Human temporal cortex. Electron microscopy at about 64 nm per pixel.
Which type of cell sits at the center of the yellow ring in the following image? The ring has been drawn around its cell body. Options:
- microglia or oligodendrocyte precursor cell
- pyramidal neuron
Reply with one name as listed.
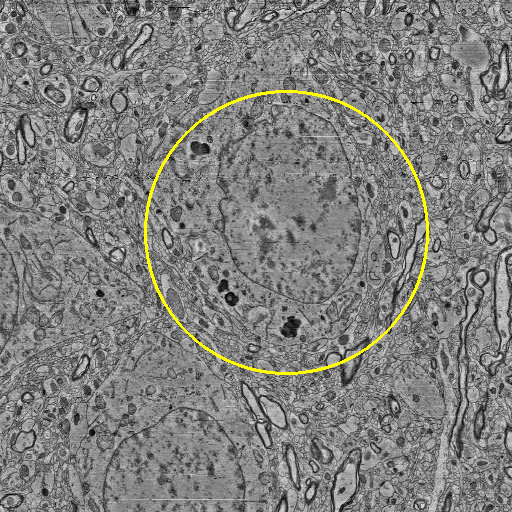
pyramidal neuron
